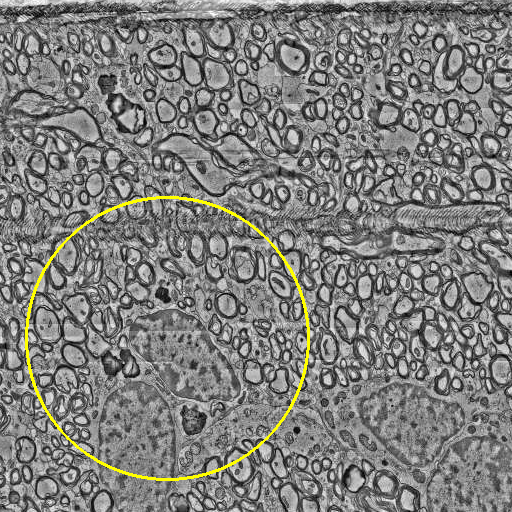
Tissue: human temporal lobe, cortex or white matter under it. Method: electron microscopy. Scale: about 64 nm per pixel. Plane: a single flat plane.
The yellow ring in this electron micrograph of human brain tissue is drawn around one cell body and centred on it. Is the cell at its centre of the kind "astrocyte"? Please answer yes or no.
no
